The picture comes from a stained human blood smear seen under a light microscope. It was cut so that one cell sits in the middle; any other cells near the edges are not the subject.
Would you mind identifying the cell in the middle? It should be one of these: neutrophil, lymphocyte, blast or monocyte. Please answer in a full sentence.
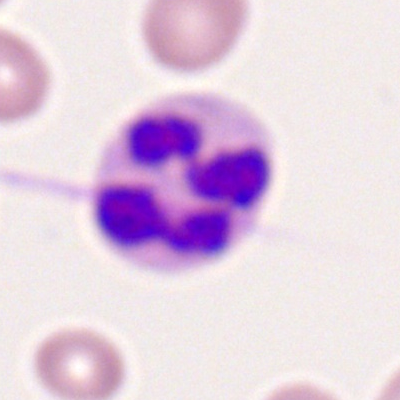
Within this crop, a neutrophil occupies the central position.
